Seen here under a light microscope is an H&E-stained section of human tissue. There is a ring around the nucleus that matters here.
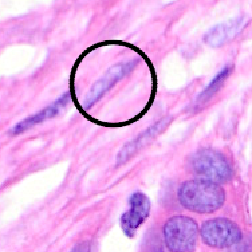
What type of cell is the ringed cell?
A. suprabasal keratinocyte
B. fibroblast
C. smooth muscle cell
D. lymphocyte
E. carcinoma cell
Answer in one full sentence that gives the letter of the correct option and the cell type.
The accurate option is B, with the ringed cell being a fibroblast.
